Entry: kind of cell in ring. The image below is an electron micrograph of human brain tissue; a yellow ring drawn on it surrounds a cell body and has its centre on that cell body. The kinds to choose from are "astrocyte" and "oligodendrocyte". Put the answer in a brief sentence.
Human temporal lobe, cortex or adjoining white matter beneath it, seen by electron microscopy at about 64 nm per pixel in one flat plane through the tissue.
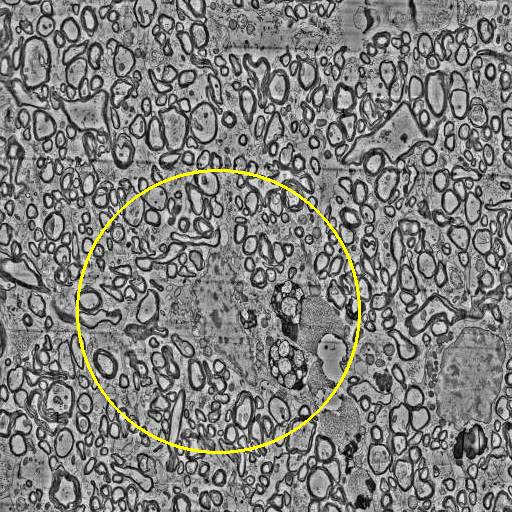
The ring has been drawn around an astrocyte.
